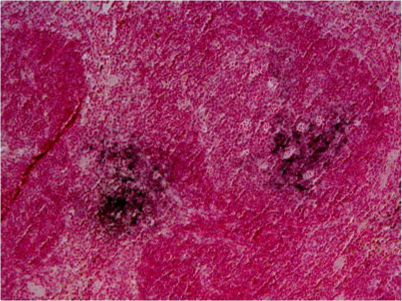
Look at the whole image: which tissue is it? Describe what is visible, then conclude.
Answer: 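Spleen. Dense sheets of small round cells. Regions of deep red, blood-filled tissue next to paler cellular zones.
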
